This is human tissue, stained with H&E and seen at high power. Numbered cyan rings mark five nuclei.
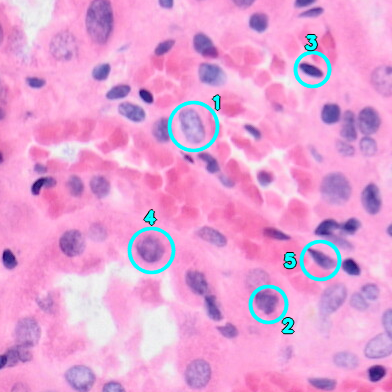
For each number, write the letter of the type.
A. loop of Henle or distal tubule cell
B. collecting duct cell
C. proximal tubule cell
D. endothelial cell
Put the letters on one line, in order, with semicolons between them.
B; C; D; C; D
